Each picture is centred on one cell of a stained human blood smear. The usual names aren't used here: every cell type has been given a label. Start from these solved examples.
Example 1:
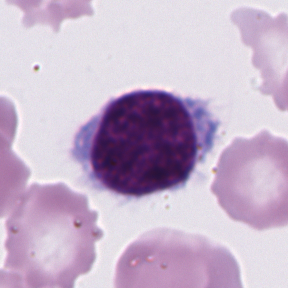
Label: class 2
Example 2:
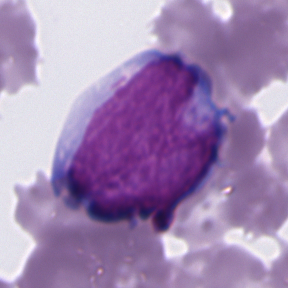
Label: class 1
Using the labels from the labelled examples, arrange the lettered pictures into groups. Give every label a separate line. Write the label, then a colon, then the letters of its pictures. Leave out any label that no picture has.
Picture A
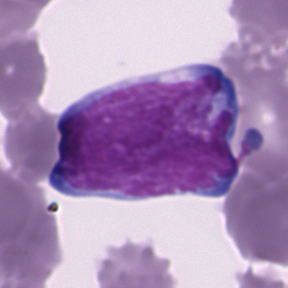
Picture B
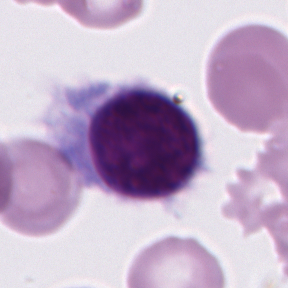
class 2: B
class 1: A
